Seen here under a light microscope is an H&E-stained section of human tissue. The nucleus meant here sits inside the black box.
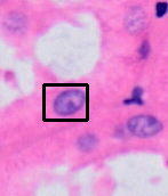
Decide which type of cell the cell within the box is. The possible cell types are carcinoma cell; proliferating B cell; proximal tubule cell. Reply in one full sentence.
As classified here, the cell within the box is a proximal tubule cell.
